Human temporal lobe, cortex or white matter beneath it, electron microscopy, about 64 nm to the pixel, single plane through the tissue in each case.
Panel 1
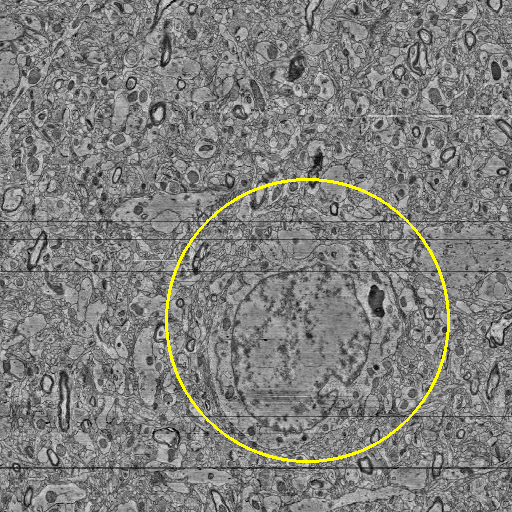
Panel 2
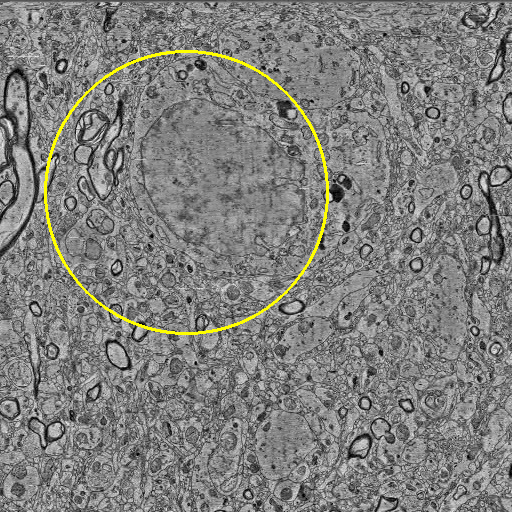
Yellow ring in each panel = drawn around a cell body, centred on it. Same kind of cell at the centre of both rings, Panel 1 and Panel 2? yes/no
yes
